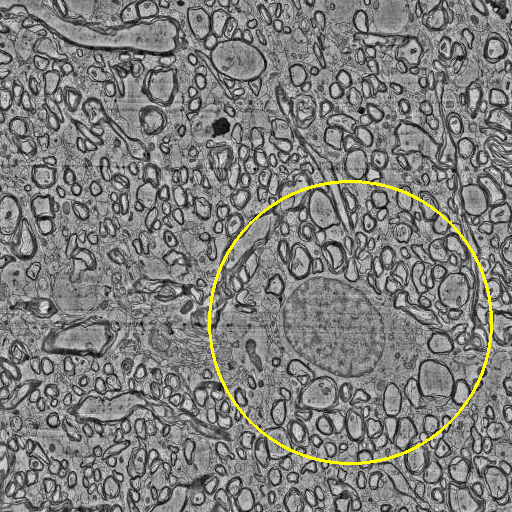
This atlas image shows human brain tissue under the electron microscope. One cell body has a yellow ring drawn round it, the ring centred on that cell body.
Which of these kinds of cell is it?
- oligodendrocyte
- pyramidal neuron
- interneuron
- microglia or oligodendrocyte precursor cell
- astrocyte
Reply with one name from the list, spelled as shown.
oligodendrocyte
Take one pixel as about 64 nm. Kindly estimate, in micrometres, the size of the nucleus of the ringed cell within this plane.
Roughly 8 micrometres by 6 micrometres, in this plane.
